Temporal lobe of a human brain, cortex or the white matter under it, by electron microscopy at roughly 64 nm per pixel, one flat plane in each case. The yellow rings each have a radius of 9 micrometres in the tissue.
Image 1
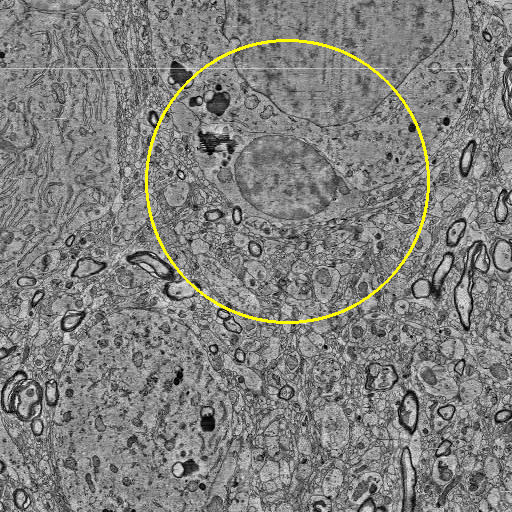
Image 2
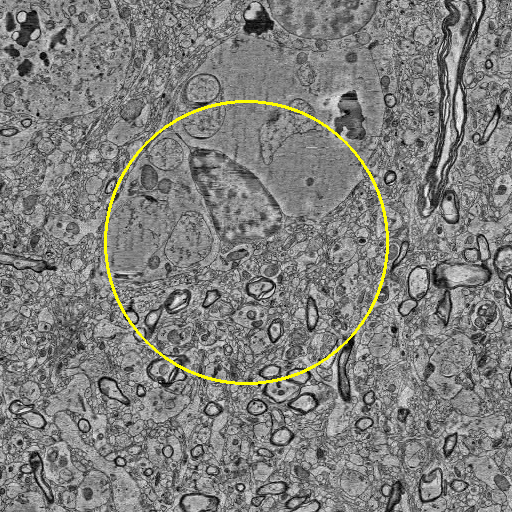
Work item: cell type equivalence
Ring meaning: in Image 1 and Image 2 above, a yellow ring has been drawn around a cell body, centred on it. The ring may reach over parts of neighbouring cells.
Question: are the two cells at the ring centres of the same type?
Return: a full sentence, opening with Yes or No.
Yes, the two centred cells are of the same type.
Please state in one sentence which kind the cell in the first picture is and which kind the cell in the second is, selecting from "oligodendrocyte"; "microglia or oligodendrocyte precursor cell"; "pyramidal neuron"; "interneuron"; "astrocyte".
The ring centre holds an oligodendrocyte in each of the two pictures.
